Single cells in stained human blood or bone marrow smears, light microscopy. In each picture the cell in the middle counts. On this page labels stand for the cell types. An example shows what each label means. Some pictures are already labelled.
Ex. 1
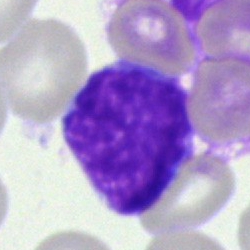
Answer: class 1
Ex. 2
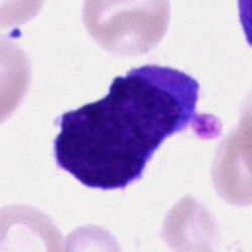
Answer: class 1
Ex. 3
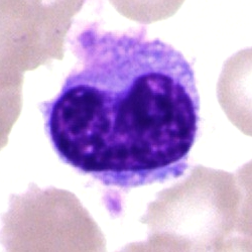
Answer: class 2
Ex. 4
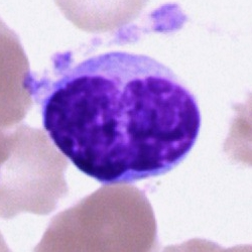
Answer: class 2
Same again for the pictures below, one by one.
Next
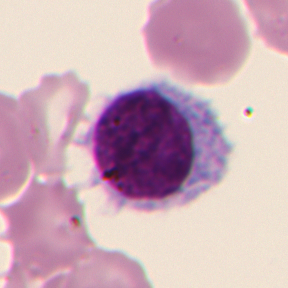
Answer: class 2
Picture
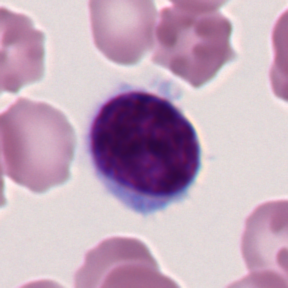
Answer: class 2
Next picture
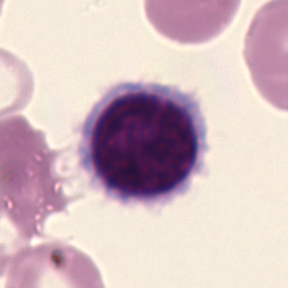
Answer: class 2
